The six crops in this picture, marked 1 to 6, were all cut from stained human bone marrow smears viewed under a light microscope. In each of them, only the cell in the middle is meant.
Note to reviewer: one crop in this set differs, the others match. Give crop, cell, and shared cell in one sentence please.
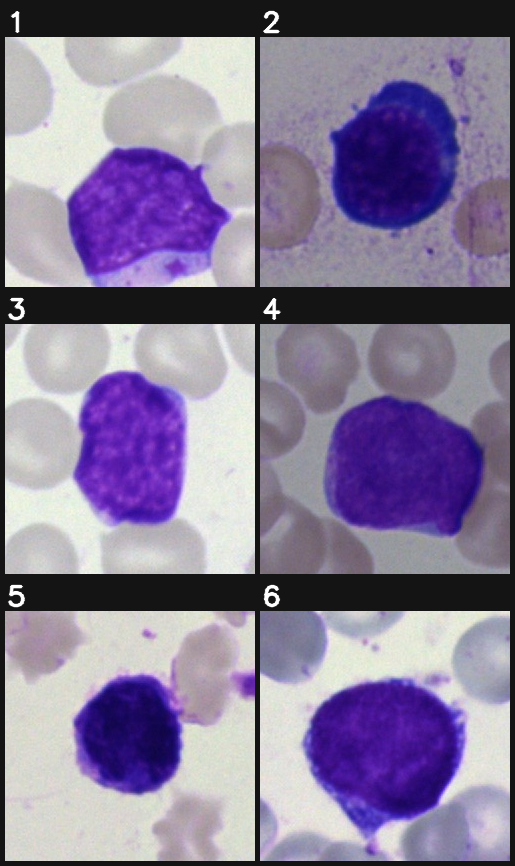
Apart from crop 2, an erythroblast, the crops all show blasts.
